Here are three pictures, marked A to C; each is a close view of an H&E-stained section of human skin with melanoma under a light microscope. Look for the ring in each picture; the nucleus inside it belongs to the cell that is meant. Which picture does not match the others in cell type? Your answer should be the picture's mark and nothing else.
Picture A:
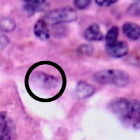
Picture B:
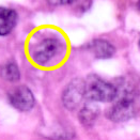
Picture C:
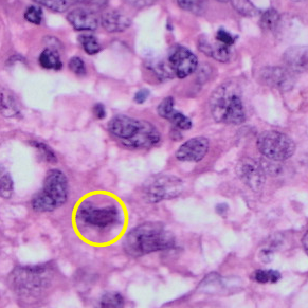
A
